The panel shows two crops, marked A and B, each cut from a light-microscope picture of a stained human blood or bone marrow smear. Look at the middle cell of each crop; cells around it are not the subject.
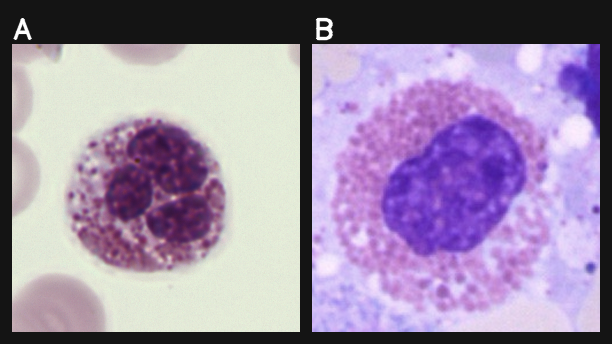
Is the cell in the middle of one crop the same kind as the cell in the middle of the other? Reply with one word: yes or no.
yes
